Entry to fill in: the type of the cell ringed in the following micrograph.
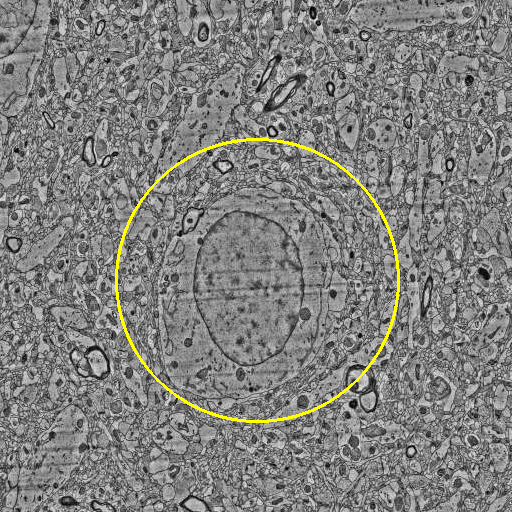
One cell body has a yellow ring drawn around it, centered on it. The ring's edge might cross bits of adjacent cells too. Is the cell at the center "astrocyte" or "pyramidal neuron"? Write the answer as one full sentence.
This entry names a pyramidal neuron as the cell whose body lies at the ring's center.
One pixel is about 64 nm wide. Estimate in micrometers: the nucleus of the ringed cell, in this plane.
In this plane the nucleus measures roughly 10 by 7 micrometers.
